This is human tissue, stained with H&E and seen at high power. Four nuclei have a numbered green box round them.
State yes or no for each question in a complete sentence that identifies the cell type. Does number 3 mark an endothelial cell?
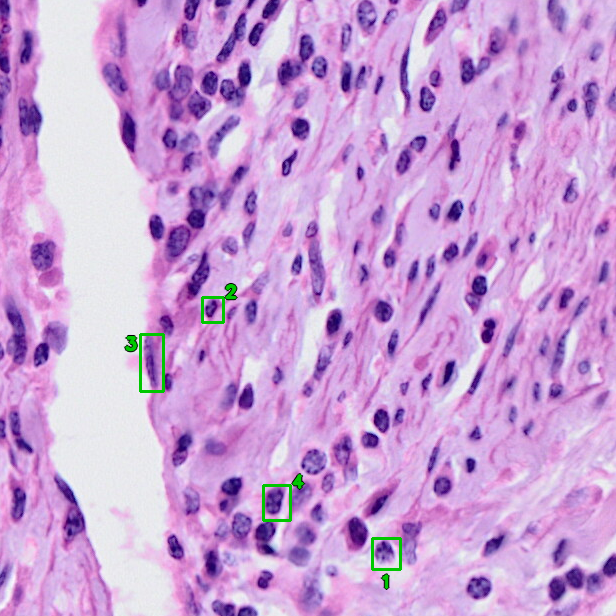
Yes, so the cell at label 3 is an endothelial cell.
